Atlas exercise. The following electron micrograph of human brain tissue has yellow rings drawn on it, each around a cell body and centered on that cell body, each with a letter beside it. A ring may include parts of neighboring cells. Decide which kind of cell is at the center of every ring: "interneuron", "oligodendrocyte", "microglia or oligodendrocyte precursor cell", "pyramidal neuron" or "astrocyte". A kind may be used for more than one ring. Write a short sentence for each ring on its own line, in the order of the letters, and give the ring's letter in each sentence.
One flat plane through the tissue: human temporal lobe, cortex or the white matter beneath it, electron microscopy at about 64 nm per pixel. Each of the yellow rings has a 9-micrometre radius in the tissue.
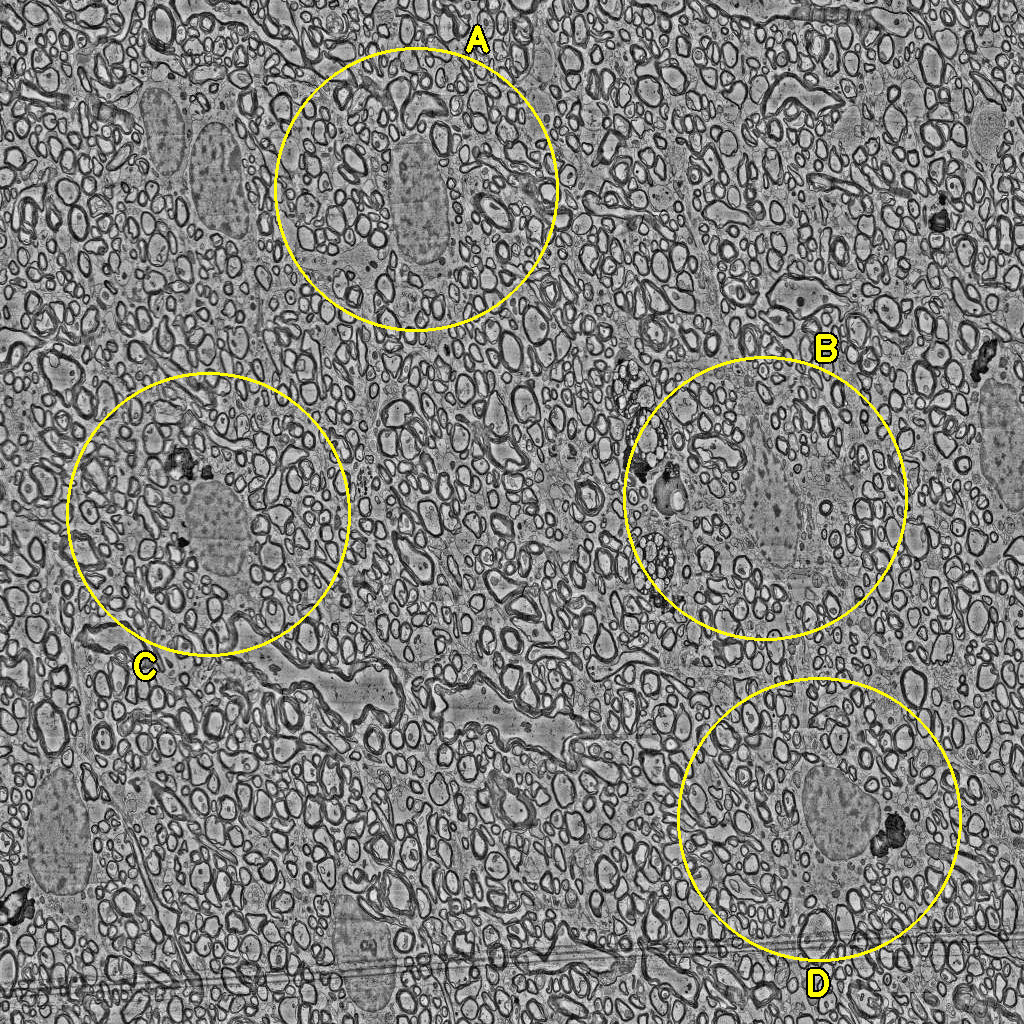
Ring A frames an oligodendrocyte at its center.
Ring B frames an astrocyte at its center.
Ring C frames an oligodendrocyte at its center.
Ring D frames an oligodendrocyte at its center.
